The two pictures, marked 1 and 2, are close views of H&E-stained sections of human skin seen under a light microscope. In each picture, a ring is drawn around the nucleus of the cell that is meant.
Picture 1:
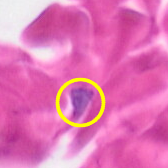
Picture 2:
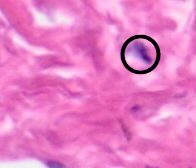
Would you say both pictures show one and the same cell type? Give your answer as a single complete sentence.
Yes; the cells in both pictures are fibroblasts.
